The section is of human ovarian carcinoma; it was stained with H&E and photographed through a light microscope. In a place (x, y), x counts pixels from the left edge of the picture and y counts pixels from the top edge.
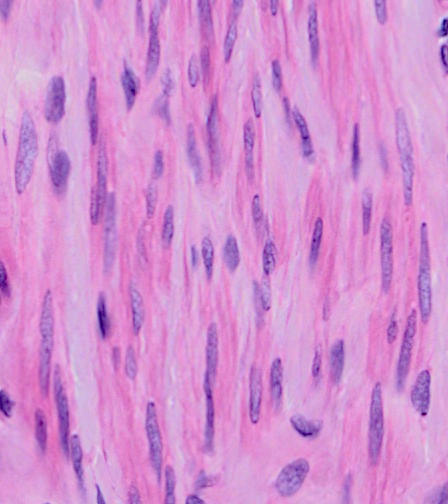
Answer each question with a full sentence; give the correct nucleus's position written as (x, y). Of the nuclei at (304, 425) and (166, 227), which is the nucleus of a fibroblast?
The nucleus at (304, 425) is the one that belongs to a fibroblast.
